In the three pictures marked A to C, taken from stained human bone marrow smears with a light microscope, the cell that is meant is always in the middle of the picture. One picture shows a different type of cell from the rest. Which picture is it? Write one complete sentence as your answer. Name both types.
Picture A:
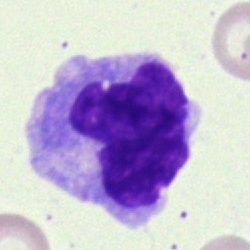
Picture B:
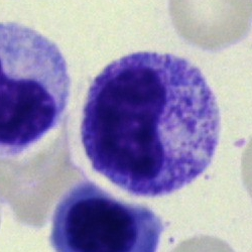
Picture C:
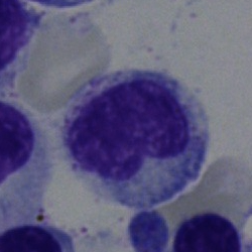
All pictures except A show metamyelocytes; picture A shows a monocyte.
